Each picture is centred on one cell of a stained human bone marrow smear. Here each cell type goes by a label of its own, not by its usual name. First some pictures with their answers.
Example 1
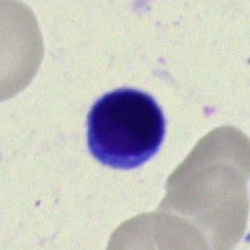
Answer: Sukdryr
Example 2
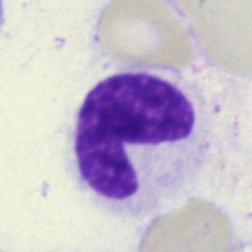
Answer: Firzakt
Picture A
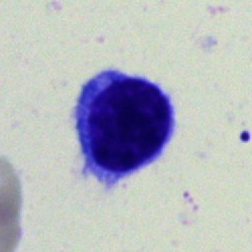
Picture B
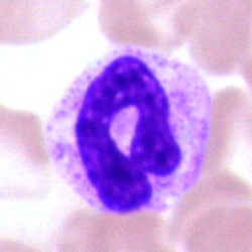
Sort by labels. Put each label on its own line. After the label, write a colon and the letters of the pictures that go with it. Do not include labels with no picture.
Sukdryr: A
Firzakt: B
